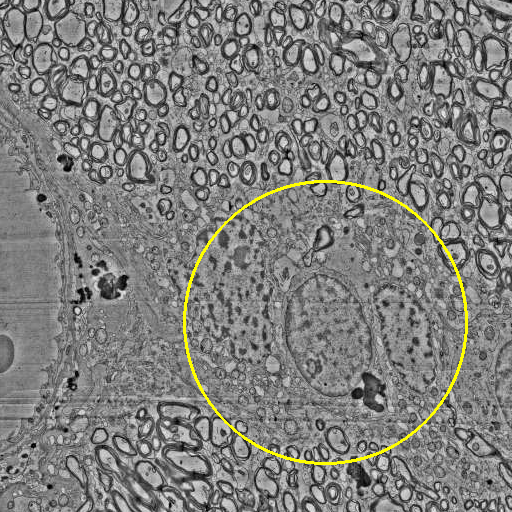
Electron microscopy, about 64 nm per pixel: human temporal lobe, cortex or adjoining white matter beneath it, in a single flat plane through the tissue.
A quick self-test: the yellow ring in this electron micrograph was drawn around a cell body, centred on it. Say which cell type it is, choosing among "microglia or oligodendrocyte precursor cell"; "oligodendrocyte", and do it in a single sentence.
The yellow-ringed cell is an oligodendrocyte.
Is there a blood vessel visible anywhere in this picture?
Yes, a blood vessel shows in the picture.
